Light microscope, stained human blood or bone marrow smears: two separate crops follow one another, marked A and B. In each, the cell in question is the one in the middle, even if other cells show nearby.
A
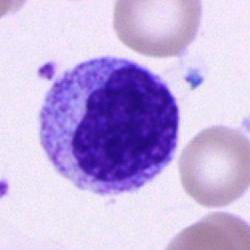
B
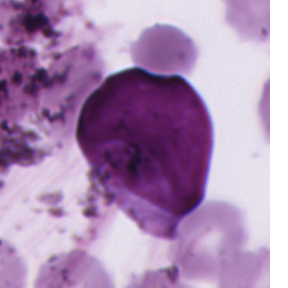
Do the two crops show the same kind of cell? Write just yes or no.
no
